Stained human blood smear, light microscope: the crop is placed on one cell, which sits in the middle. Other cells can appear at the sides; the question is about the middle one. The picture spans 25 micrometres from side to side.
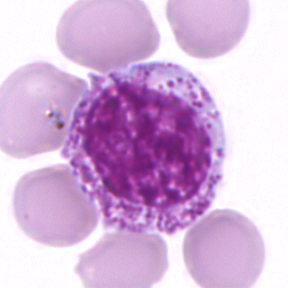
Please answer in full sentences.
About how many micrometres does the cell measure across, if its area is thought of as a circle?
The cell is about 14 micrometres across.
